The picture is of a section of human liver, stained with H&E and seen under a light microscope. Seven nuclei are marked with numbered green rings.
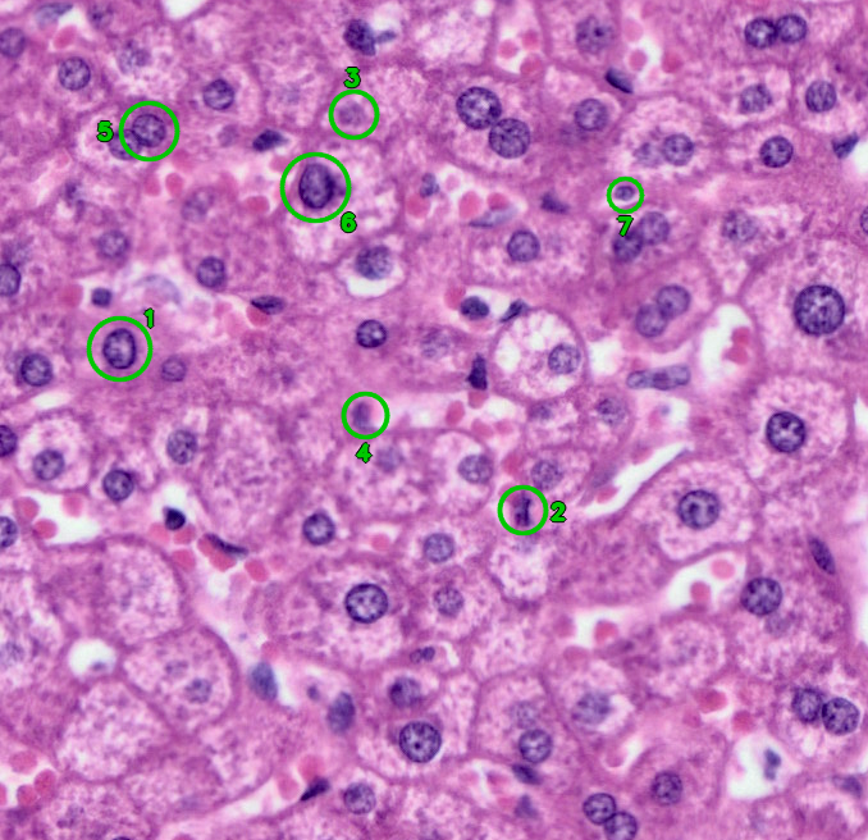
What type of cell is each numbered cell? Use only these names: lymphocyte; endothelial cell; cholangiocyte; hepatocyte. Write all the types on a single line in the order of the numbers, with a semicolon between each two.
hepatocyte; endothelial cell; hepatocyte; endothelial cell; hepatocyte; hepatocyte; lymphocyte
